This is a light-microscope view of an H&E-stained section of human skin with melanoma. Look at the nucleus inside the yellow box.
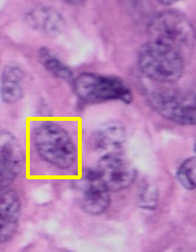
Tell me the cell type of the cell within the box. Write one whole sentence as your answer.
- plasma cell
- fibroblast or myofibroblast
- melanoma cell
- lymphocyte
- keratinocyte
The cell within the box appears to be a melanoma cell.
